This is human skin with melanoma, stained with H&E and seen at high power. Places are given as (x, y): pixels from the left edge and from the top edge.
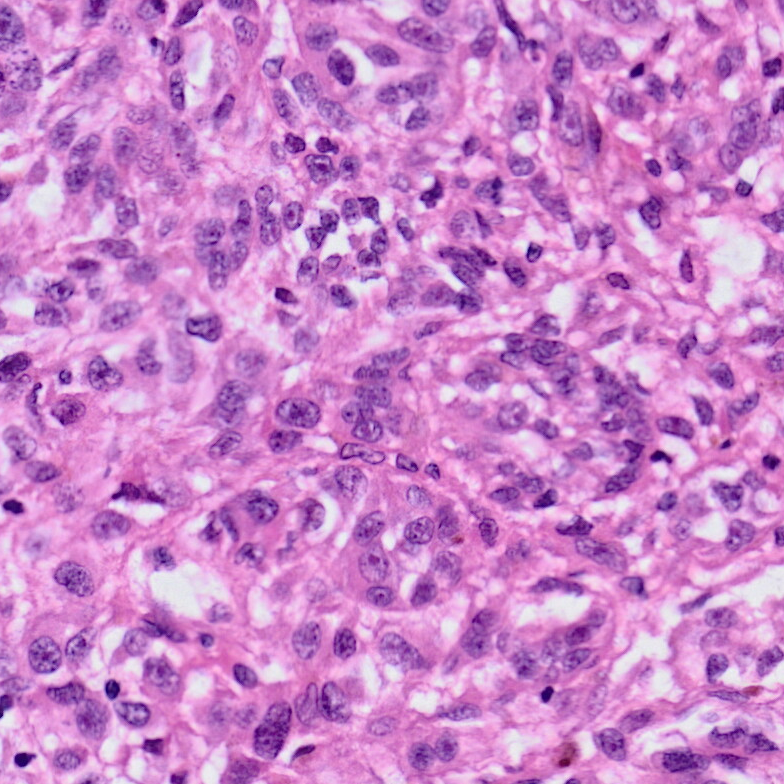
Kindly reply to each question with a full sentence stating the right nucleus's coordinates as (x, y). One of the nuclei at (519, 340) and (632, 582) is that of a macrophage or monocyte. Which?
The nucleus at (632, 582) is the member of the pair belonging to a macrophage or monocyte.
